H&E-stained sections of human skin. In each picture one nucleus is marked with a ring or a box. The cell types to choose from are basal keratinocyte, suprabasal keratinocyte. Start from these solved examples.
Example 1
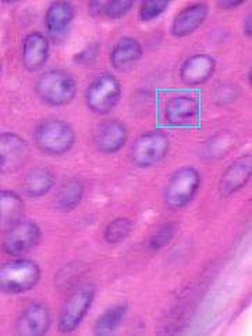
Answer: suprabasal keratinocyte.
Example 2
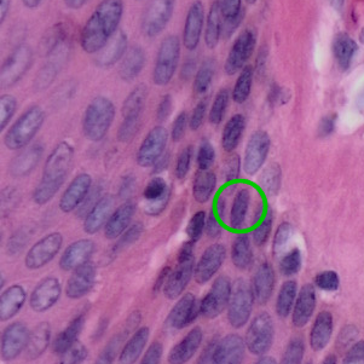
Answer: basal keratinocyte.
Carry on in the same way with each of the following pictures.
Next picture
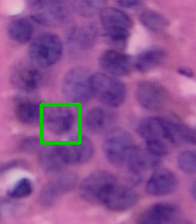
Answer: basal keratinocyte.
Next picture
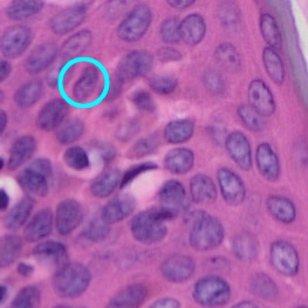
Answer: basal keratinocyte.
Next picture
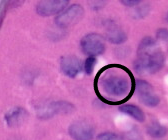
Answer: basal keratinocyte.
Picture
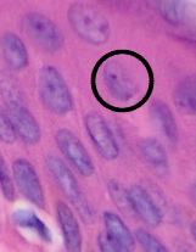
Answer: suprabasal keratinocyte.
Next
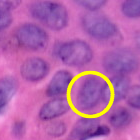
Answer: basal keratinocyte.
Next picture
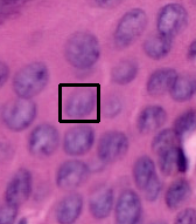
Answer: suprabasal keratinocyte.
